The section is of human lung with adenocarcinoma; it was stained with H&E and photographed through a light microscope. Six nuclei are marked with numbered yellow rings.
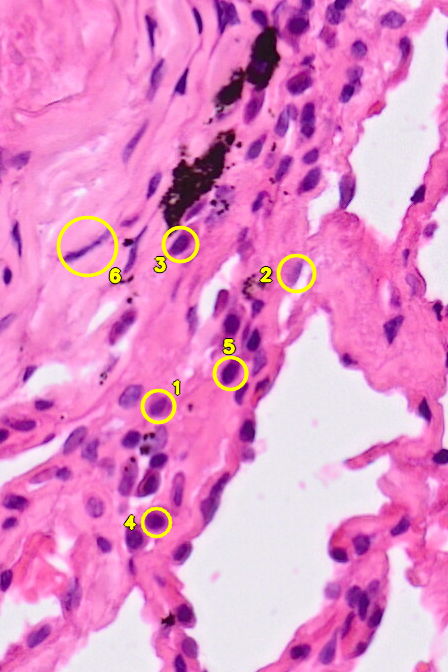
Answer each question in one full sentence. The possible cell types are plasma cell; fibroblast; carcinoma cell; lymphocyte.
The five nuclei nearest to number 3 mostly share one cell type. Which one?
Around number 3, most of the five nearest nuclei are those of fibroblasts.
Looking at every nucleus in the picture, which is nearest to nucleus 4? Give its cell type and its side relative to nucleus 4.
Lying below and to the left of nucleus 4, the nearest nucleus is that of a plasma cell.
